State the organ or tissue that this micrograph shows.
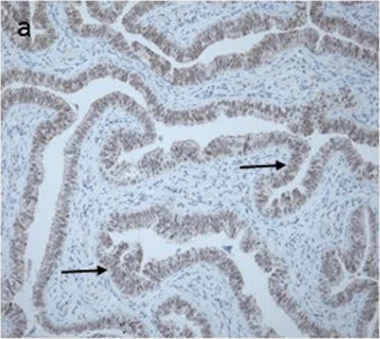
Fallopian tube.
